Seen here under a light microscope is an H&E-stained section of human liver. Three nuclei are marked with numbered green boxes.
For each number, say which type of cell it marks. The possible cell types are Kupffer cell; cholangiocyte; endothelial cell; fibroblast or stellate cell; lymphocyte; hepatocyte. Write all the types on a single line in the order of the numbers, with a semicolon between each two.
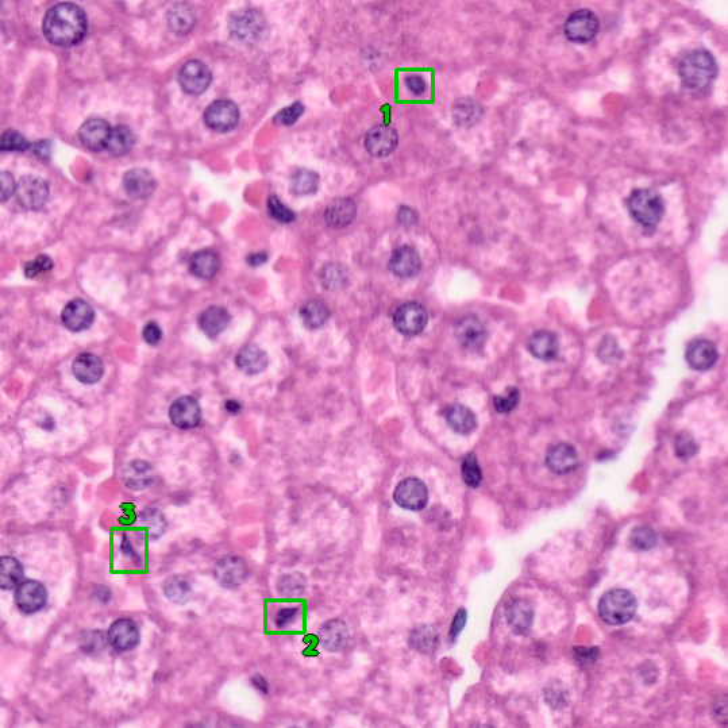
lymphocyte; fibroblast or stellate cell; endothelial cell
